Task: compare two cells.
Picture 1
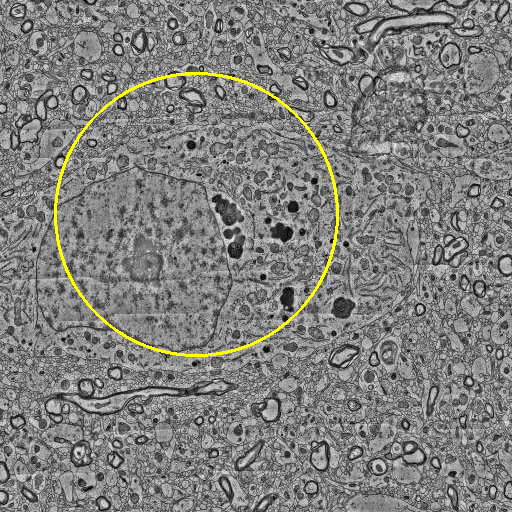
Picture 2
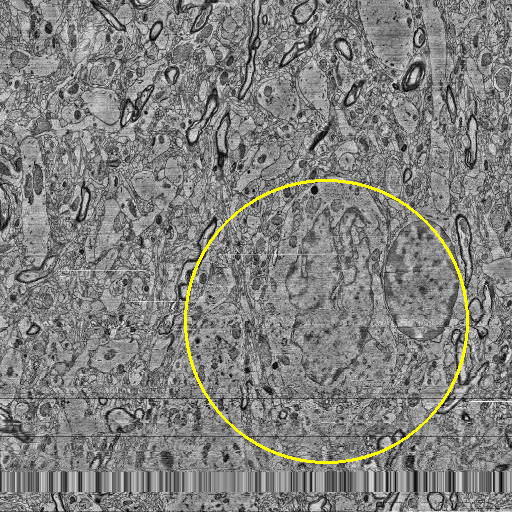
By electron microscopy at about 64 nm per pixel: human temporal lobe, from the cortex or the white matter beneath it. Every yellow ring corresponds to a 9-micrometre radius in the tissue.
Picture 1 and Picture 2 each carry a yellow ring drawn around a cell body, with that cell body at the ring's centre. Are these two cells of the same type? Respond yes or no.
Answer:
yes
